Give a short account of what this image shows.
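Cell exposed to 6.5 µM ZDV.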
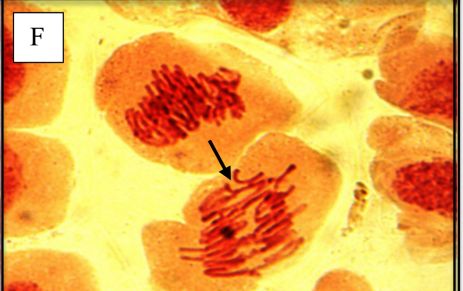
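This is a dividing cell in anaphase, with two groups of red-stained rod-shaped chromosomes pulling apart and strands of chromatin stretched between them as anaphase bridges. Above it another cell holds a dense cluster of condensed chromosomes. The surrounding cells have rounded nuclei stained orange-red, set against a yellowish background.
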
